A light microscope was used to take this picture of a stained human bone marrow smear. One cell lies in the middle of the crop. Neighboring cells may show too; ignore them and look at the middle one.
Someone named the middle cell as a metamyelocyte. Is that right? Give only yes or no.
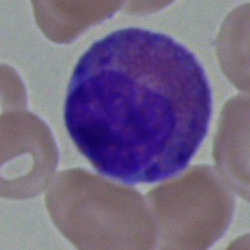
no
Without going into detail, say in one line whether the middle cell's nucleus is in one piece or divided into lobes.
There is one compact nucleus, and its shape is round, oval or kidney-like.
